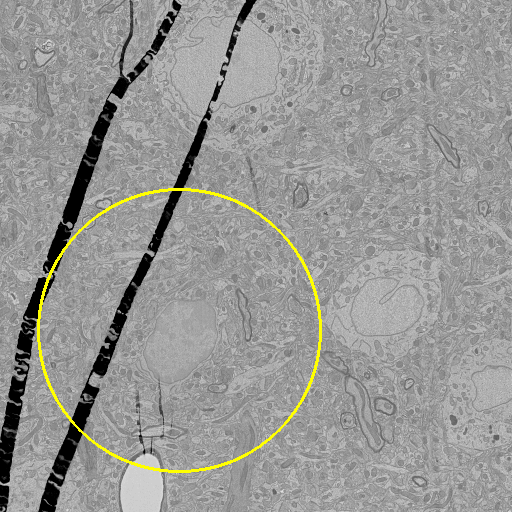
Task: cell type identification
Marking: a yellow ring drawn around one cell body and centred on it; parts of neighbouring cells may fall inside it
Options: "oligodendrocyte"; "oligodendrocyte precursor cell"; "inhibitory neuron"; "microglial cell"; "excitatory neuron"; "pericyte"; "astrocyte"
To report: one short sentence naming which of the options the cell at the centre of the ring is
The cell at the centre of the ring is a microglial cell.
